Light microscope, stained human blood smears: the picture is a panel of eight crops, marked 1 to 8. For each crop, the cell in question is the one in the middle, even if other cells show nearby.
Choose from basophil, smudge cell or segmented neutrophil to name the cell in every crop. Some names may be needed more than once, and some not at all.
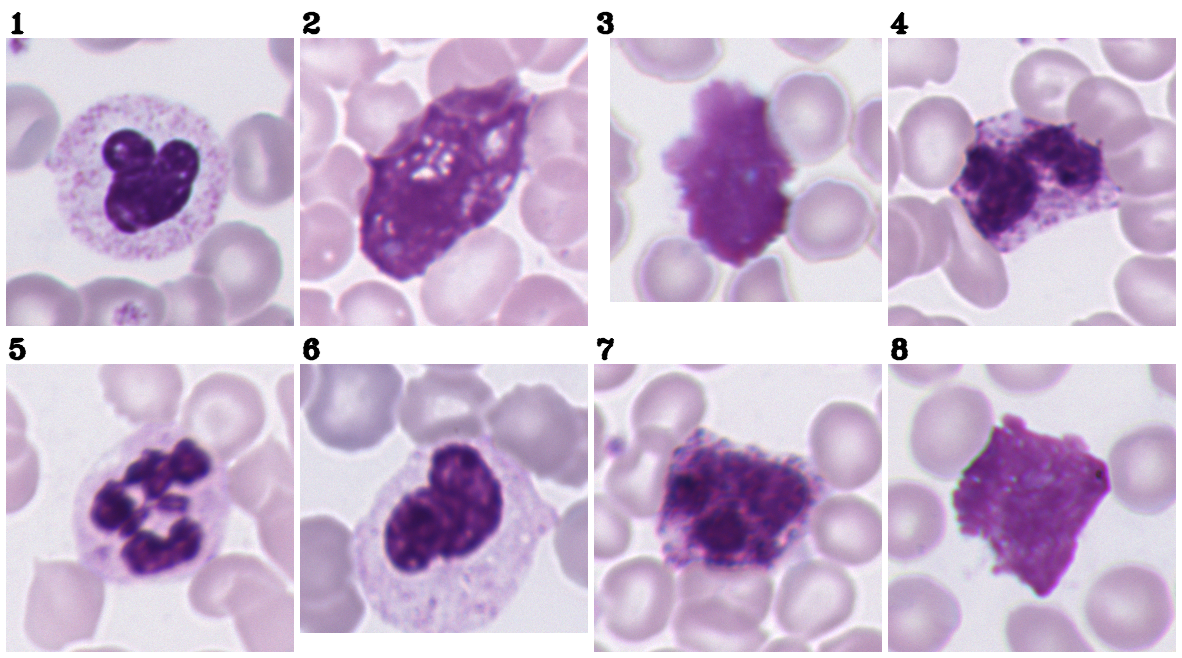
1: segmented neutrophil
2: smudge cell
3: smudge cell
4: basophil
5: segmented neutrophil
6: segmented neutrophil
7: basophil
8: smudge cell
